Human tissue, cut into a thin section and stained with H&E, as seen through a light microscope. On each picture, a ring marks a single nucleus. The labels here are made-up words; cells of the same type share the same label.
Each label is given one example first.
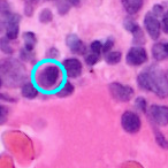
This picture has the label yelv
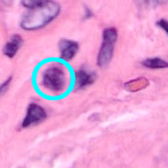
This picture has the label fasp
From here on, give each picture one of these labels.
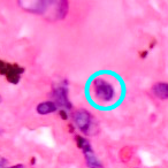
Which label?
yelv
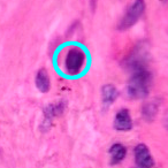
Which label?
fasp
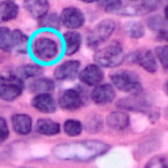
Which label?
yelv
